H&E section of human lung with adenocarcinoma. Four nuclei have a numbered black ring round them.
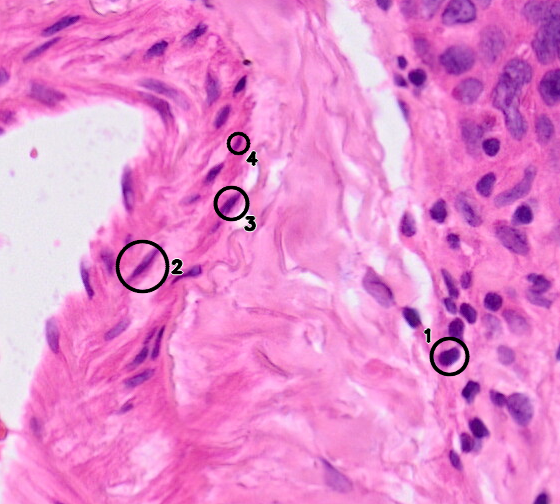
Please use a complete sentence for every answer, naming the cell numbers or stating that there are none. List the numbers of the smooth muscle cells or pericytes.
The cells labelled 2, 3 and 4 in this section are smooth muscle cells or pericytes.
